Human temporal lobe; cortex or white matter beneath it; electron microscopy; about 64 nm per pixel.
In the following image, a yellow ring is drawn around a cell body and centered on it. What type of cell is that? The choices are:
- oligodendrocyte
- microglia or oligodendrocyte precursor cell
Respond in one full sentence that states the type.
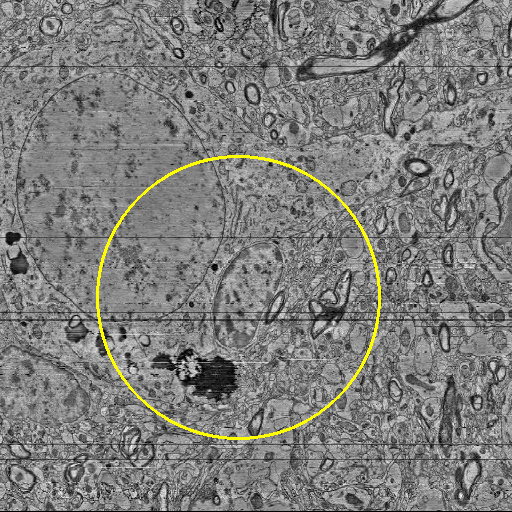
The cell at the center of the yellow ring in the image is a microglial cell or oligodendrocyte precursor cell.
